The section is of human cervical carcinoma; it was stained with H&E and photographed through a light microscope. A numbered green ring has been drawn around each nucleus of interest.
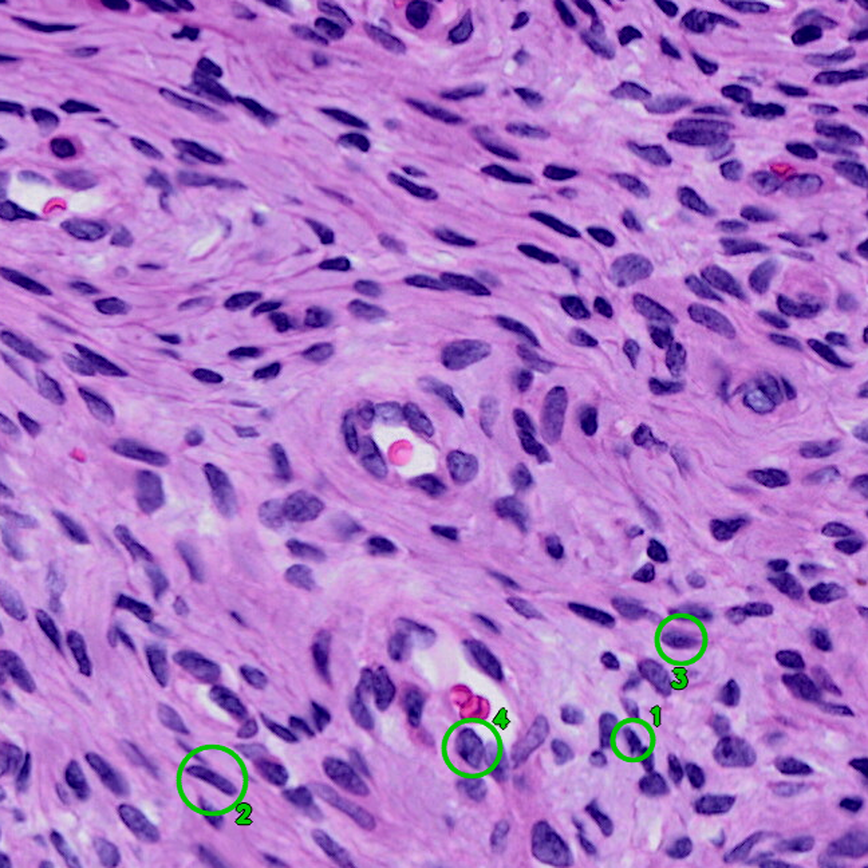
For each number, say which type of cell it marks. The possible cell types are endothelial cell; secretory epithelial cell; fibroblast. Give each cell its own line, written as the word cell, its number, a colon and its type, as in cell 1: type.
cell 1: fibroblast
cell 2: fibroblast
cell 3: fibroblast
cell 4: endothelial cell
